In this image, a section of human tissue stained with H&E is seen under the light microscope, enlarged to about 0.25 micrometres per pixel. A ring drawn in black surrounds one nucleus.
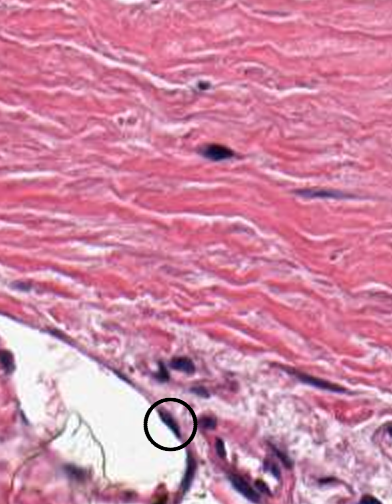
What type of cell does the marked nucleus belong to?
endothelial cell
